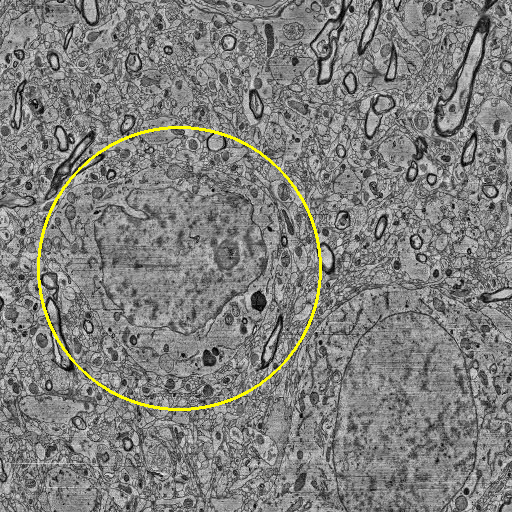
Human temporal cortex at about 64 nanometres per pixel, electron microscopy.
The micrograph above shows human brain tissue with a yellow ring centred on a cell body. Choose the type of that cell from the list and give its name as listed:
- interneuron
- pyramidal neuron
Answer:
interneuron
